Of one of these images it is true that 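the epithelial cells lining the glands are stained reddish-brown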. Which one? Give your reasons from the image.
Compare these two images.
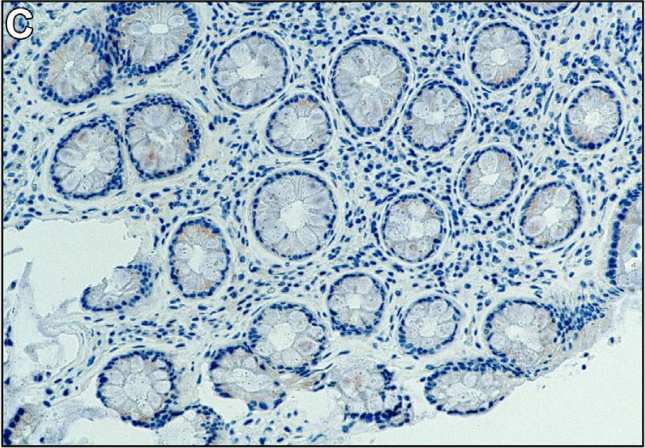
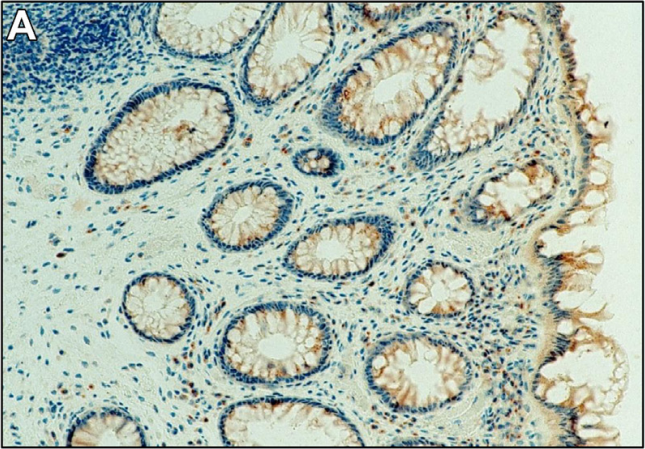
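First image: the gland epithelium is blue and pale grey, with hardly any brown. Second image: the gland and surface epithelium carry a clear reddish-brown stain. So: the second image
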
